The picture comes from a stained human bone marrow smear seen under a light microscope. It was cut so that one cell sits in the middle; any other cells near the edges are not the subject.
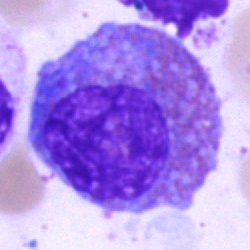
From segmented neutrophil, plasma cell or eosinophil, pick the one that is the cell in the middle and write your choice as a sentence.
This crop has an eosinophil at its centre.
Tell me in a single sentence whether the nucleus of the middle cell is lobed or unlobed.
Round, oval or kidney-shaped, the nucleus is one compact mass.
